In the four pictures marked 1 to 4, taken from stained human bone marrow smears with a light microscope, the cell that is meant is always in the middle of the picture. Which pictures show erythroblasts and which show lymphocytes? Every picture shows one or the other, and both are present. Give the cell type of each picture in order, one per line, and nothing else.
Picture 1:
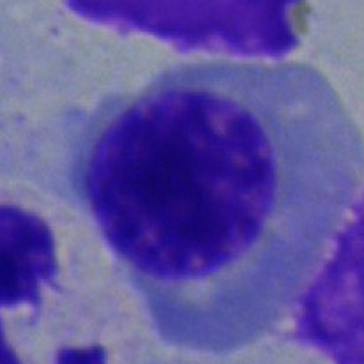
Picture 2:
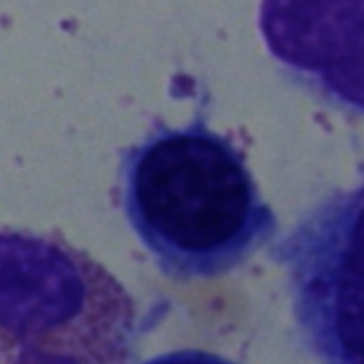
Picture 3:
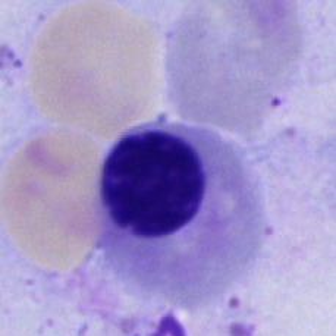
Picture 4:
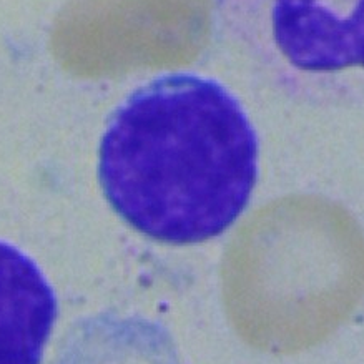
erythroblast
erythroblast
erythroblast
lymphocyte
